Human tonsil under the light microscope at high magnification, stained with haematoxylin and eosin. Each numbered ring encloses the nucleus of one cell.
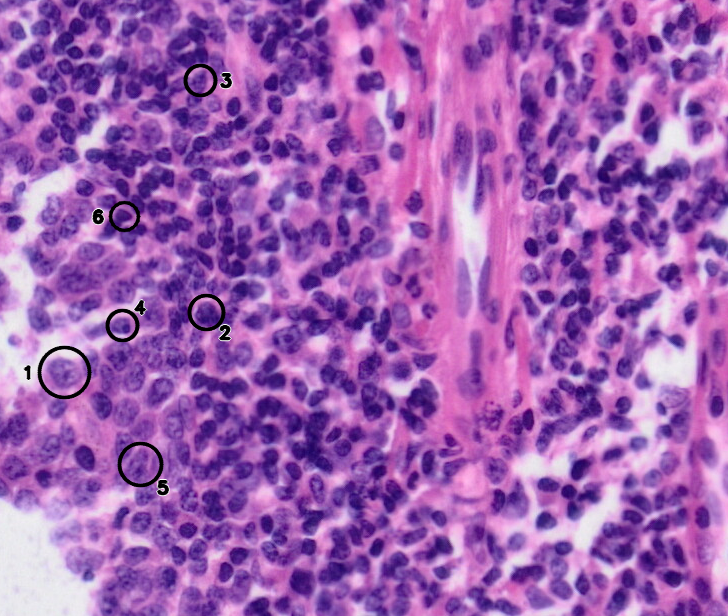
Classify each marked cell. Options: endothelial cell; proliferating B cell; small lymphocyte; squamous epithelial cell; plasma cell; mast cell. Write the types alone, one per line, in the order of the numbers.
proliferating B cell
small lymphocyte
small lymphocyte
proliferating B cell
proliferating B cell
small lymphocyte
